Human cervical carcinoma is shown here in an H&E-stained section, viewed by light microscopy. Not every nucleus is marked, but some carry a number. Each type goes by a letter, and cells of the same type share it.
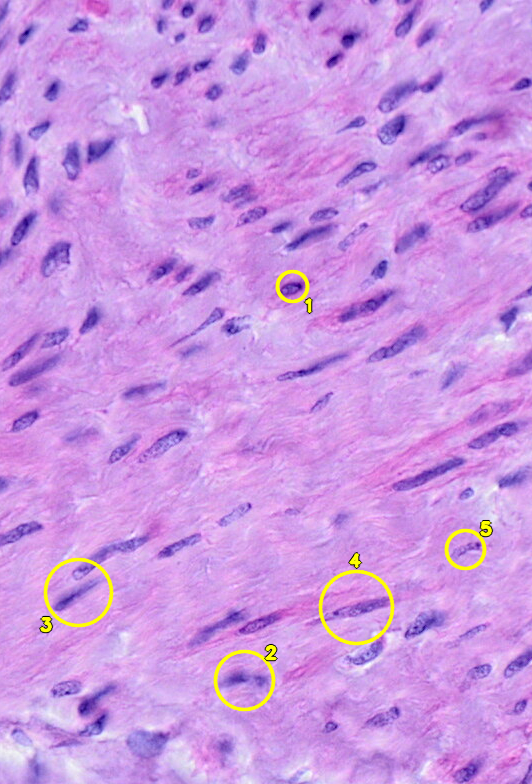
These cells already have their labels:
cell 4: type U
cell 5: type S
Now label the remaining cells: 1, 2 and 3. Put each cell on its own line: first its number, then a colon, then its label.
1: type U
2: type S
3: type S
